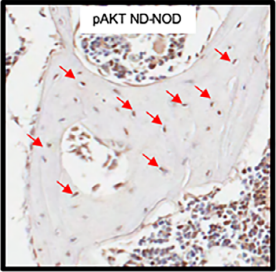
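A broad trabecula of pale bone matrix fills most of the field, with marrow cavities at its top and bottom edges crowded with small round nucleated cells. Dotted regularly through the matrix are many small elongated cells each lying alone in a lacuna, several showing brownish nuclei or surrounding stain. These embedded cells are osteocytes of cancellous bone, numerous and fairly evenly spread across the trabecula, with the haematopoietic marrow lying beside the bone surfaces.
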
